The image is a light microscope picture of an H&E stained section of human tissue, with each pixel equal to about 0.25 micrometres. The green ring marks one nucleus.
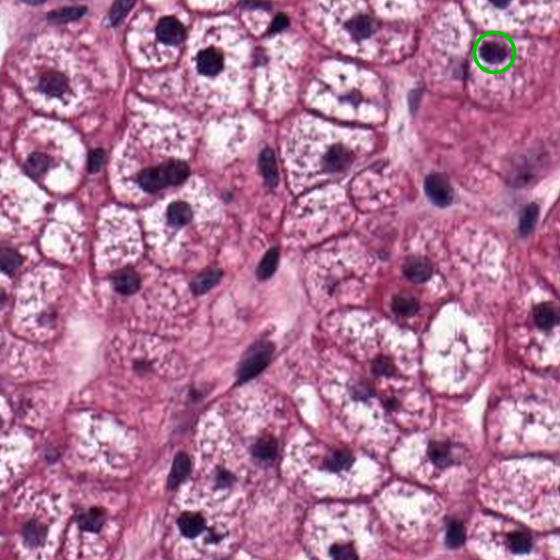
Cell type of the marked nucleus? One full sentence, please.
The owner of the marked nucleus is an adrenal cortical cell.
